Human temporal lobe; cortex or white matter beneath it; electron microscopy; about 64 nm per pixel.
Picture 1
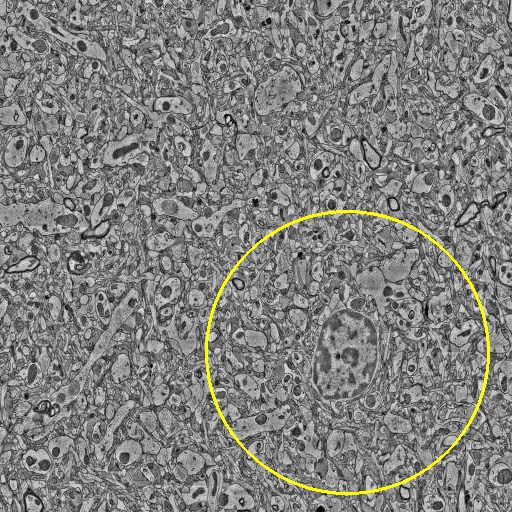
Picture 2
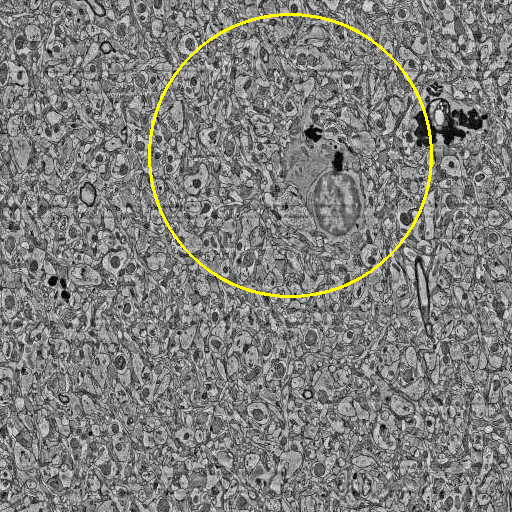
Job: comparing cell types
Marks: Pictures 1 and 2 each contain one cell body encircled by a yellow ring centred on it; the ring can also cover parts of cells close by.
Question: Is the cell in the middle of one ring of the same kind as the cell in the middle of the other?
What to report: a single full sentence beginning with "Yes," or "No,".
No, the cell at the ring centre in Picture 1 and its partner in Picture 2 are of two kinds.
